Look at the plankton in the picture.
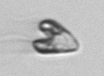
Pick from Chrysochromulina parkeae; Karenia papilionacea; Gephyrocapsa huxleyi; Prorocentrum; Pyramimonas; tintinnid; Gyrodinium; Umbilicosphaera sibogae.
Pyramimonas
